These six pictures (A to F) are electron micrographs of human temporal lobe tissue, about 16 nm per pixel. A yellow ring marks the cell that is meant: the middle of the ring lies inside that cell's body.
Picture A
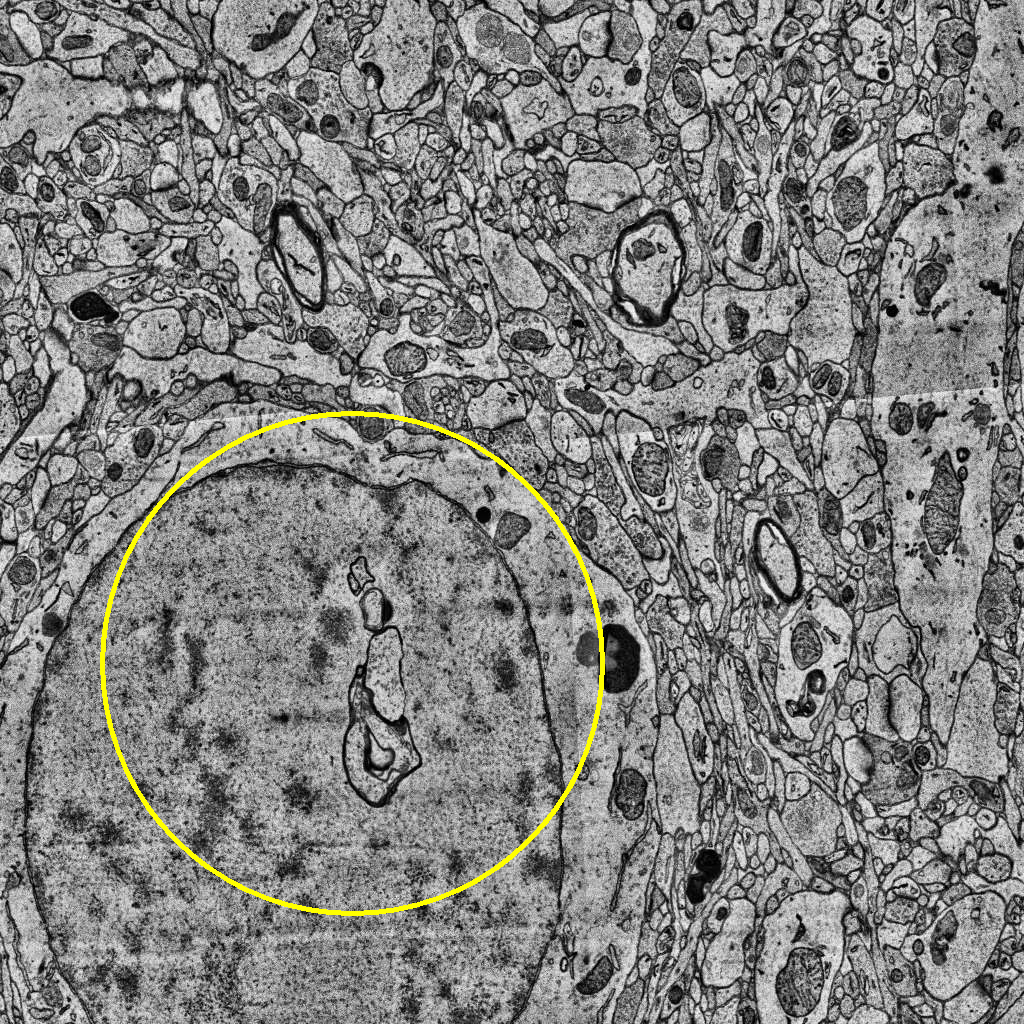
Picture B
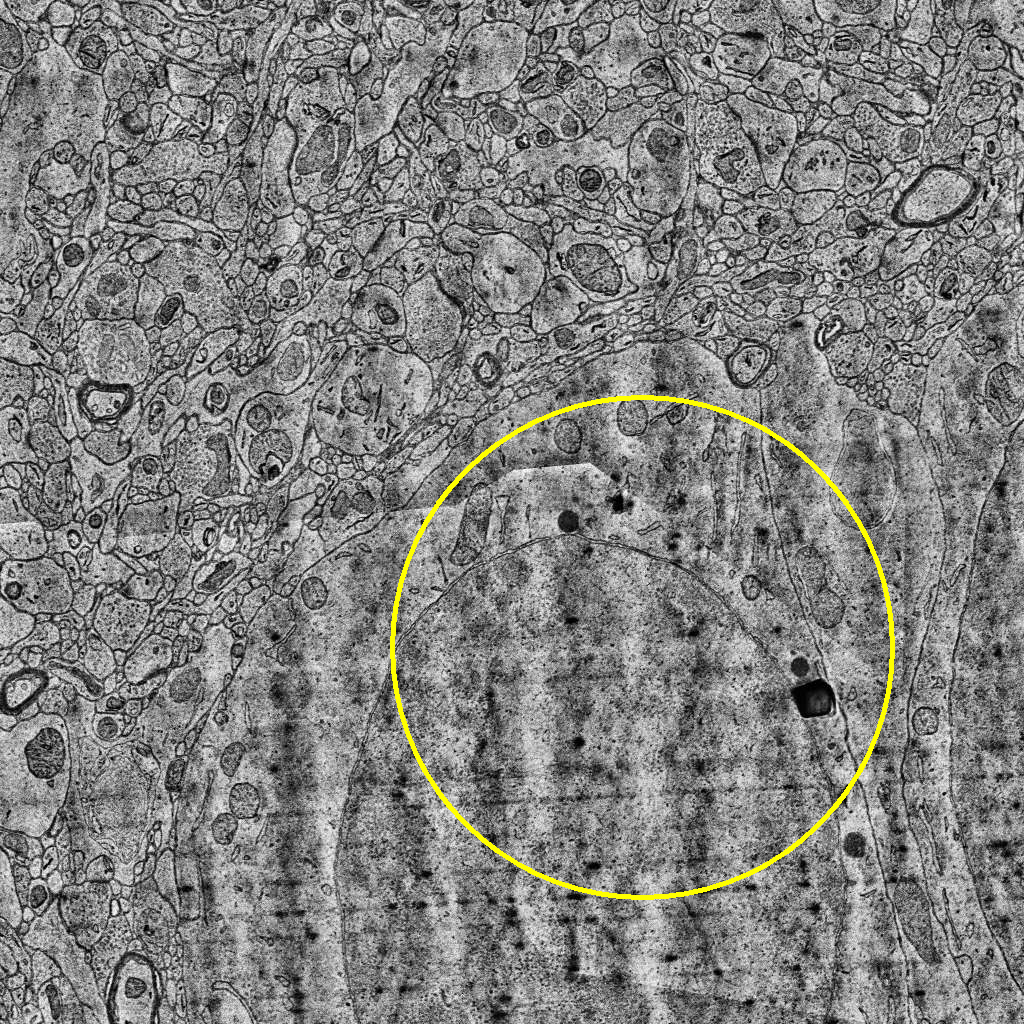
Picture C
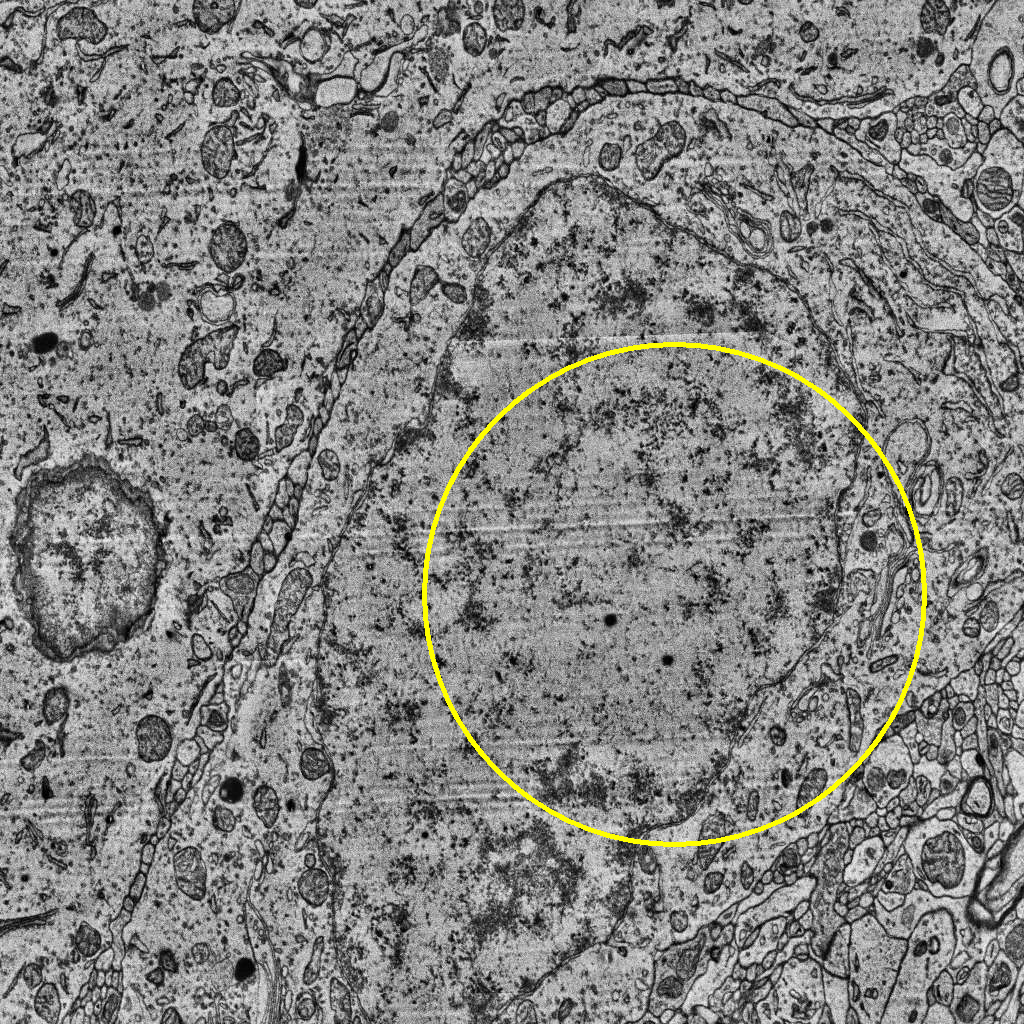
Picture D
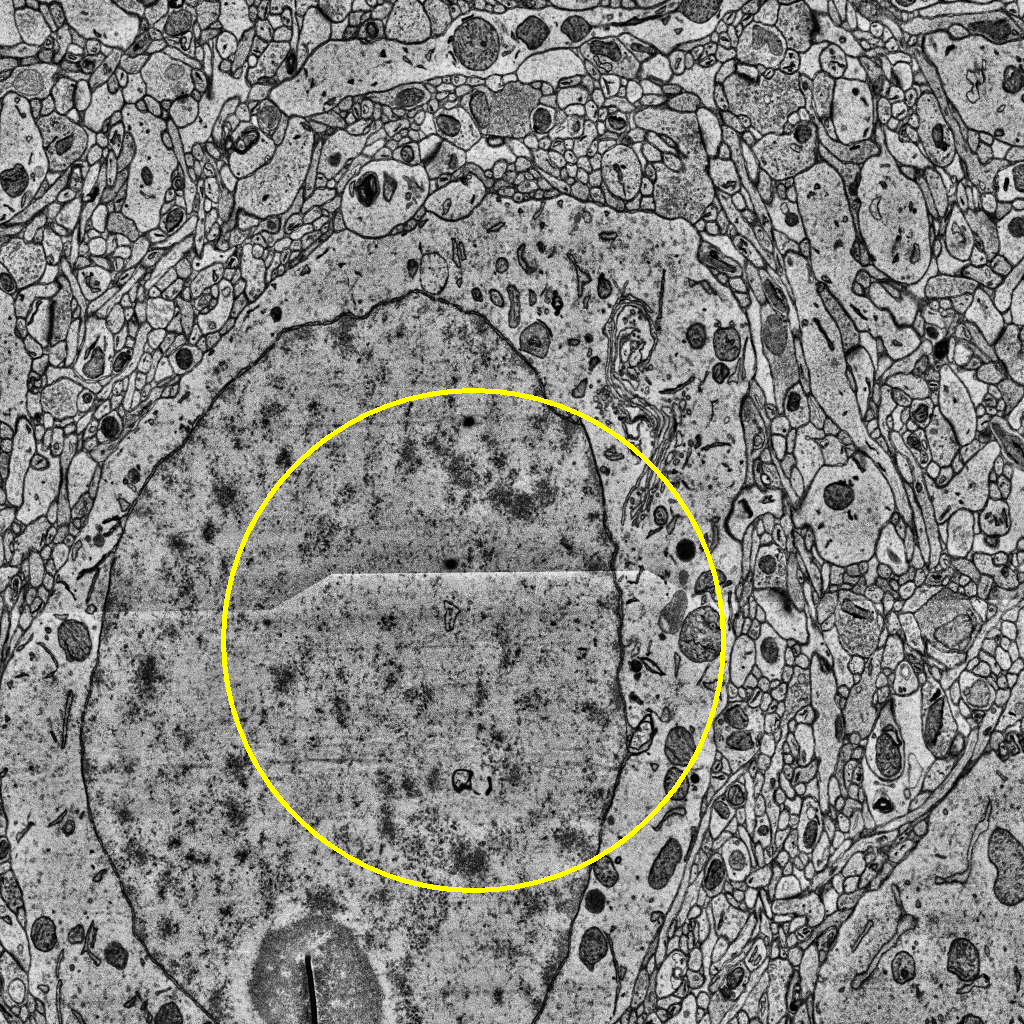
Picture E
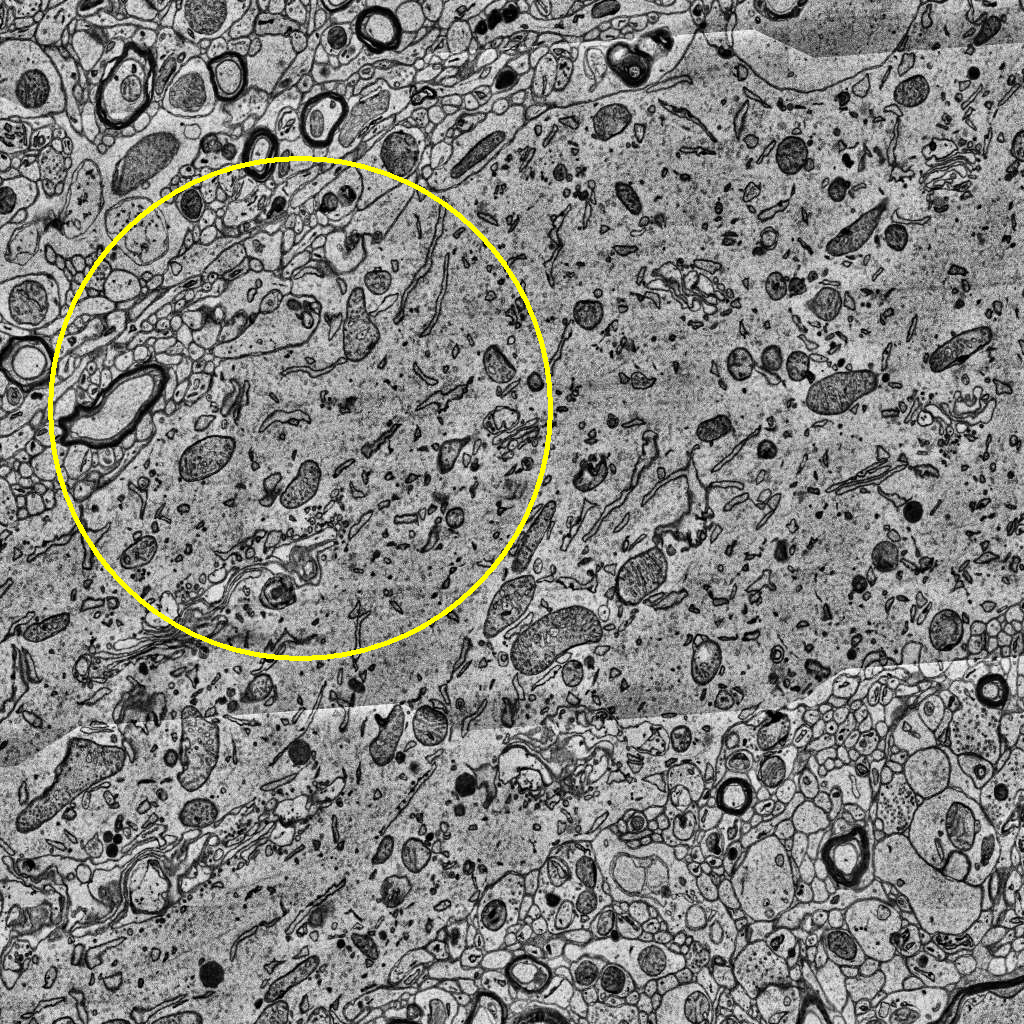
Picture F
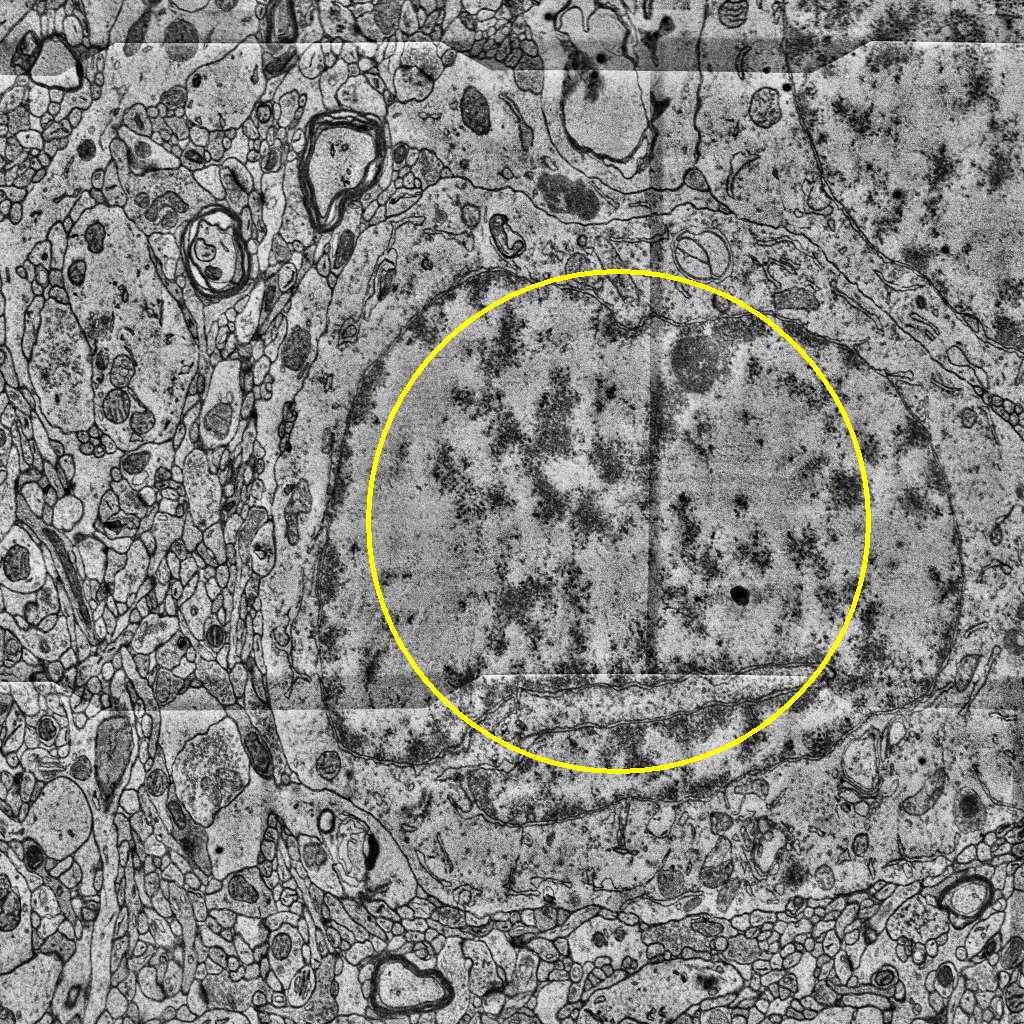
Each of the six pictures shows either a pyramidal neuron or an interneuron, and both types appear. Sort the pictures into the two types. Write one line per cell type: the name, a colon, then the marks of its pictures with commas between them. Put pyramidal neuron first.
pyramidal neuron: A, B, D, E
interneuron: C, F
